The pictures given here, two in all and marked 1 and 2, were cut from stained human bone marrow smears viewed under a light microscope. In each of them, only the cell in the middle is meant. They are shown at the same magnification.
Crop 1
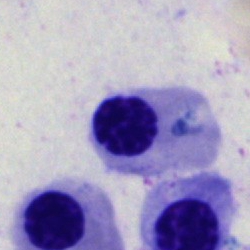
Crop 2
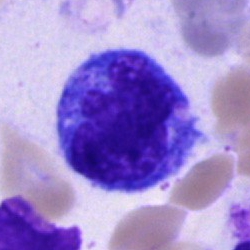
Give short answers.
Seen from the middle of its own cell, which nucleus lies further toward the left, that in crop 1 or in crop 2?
1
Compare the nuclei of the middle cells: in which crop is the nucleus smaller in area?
1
